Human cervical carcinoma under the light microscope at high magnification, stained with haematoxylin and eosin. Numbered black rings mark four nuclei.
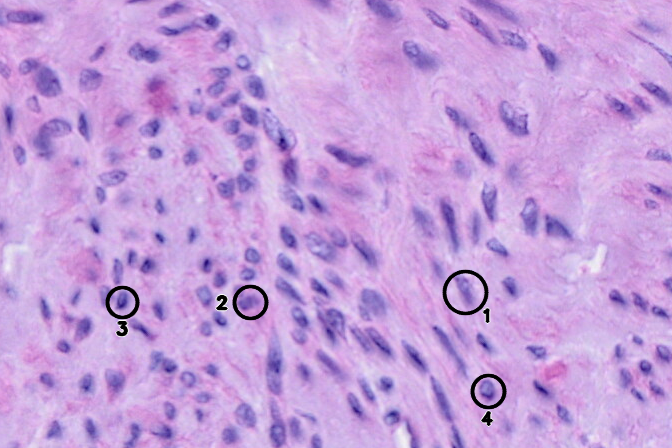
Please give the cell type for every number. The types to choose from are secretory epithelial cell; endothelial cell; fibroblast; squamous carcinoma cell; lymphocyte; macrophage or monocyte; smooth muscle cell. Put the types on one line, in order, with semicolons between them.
smooth muscle cell; smooth muscle cell; fibroblast; smooth muscle cell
